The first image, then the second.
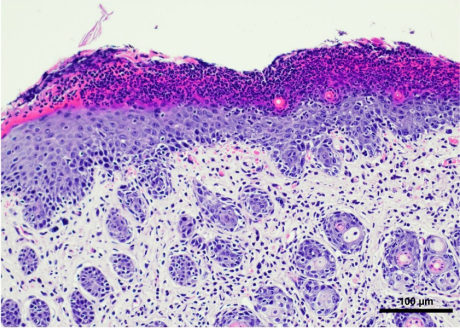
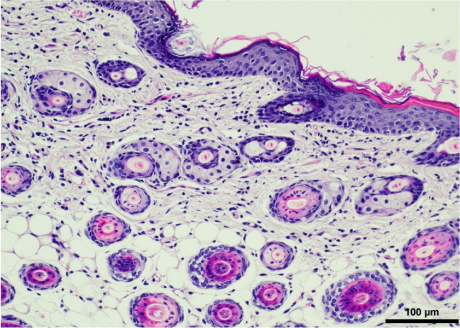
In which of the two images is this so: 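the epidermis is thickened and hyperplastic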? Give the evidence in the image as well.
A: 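First image: the epidermis is many cell layers thick with a dense surface layer. Second image: the epidermis is thin, only a few cell layers.
The first image.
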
